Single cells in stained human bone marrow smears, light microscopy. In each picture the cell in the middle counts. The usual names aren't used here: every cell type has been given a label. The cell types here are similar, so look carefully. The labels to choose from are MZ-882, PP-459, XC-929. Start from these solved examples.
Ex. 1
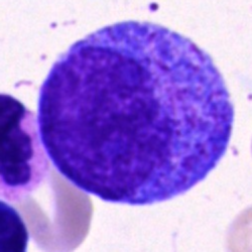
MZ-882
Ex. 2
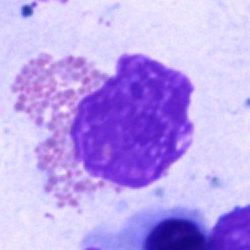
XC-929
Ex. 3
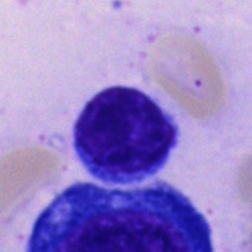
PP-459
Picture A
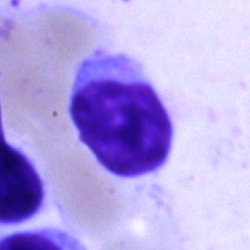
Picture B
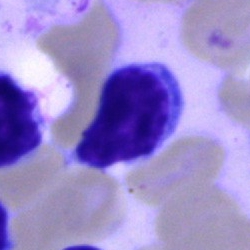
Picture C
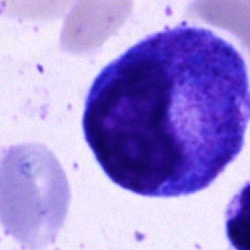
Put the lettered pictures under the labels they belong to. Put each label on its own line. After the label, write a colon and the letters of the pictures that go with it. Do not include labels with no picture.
MZ-882: C
PP-459: A, B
